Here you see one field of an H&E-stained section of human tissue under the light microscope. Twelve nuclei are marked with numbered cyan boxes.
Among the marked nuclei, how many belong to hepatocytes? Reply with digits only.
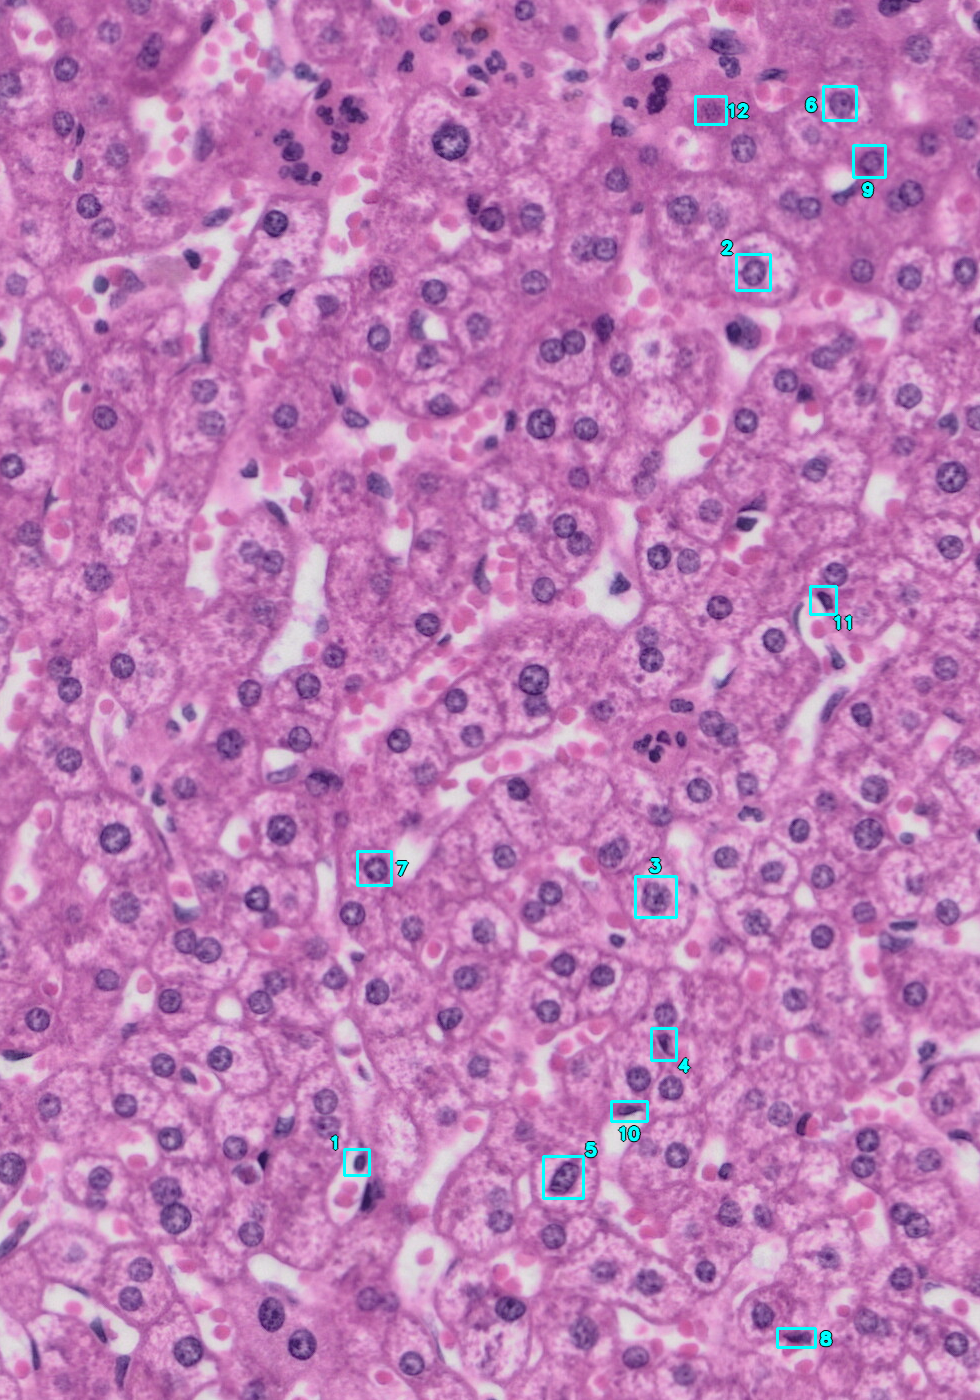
7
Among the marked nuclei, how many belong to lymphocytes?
1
